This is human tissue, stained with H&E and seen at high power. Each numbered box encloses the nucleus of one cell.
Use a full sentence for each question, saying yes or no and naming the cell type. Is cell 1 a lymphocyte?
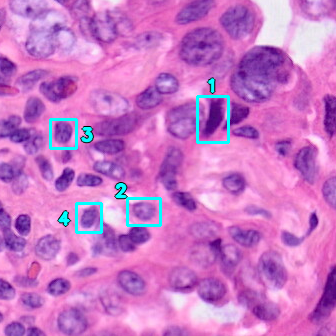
No, the cell labelled number 1 is not a lymphocyte; it is a carcinoma cell.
